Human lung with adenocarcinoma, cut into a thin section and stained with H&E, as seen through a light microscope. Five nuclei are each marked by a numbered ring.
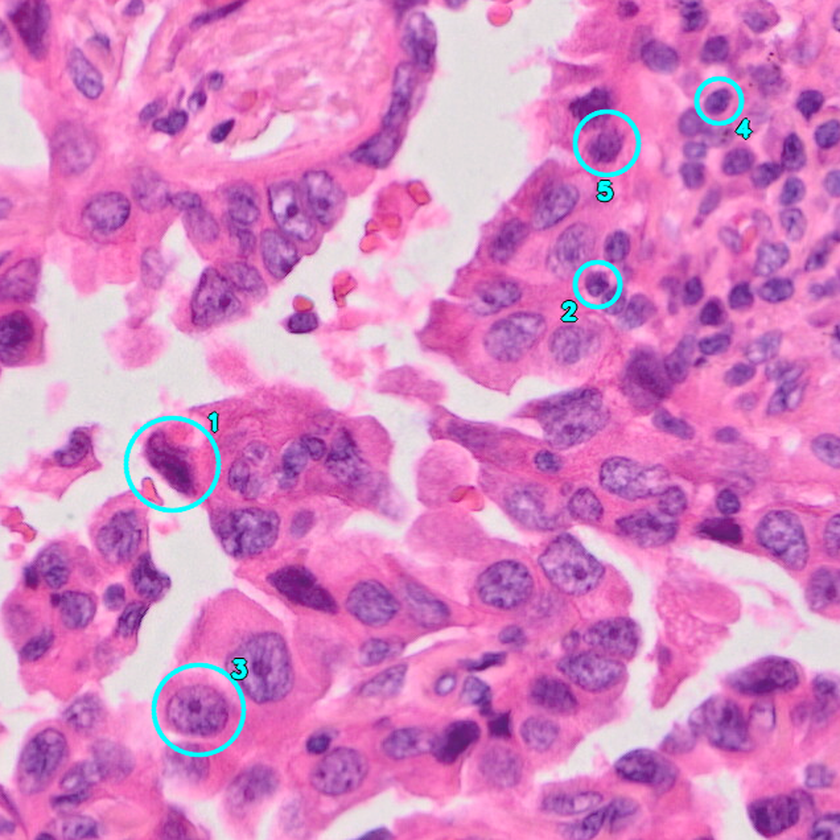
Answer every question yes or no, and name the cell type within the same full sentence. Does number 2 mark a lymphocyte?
Yes, number 2 is assigned to a cell that is a lymphocyte.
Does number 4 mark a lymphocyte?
Yes, exactly, the cell numbered 4 is a lymphocyte.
